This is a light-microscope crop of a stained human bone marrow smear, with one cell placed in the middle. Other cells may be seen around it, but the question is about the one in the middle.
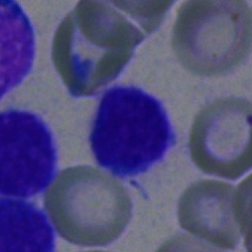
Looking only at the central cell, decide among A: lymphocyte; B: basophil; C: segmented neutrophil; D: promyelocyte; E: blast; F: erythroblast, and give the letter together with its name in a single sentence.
The cell right in the middle is a lymphocyte, so option A is the one.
